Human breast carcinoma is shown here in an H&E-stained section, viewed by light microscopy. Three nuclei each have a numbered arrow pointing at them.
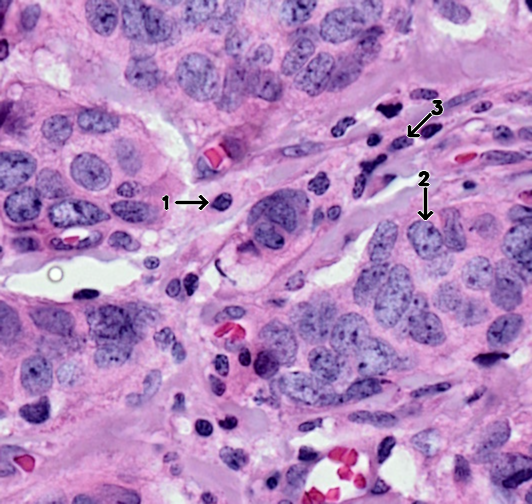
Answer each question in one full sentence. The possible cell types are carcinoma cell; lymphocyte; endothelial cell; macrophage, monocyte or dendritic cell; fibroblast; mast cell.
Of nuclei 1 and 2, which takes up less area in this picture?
Nucleus 1 covers less area, with nucleus 2 about 3 times as large.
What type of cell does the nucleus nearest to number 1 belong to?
Closest to number 1 lies the nucleus of an endothelial cell.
